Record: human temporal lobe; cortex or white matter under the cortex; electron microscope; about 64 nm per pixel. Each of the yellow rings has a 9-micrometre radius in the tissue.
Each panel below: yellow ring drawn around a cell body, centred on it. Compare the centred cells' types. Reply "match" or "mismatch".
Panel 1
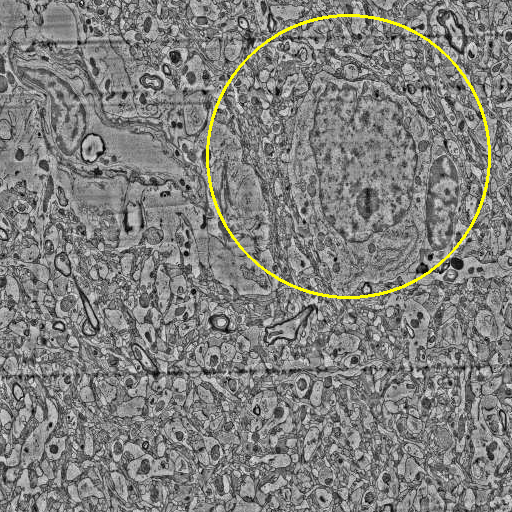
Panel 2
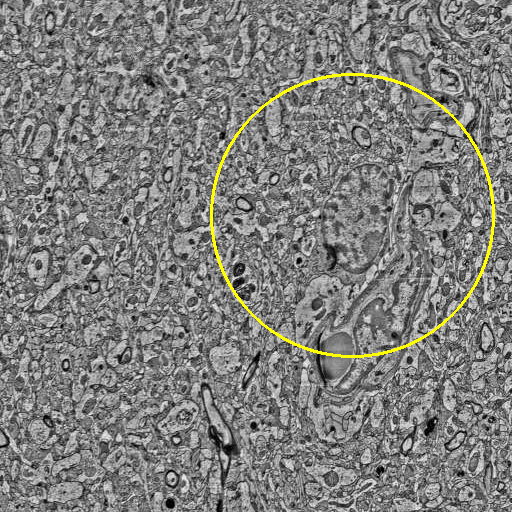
mismatch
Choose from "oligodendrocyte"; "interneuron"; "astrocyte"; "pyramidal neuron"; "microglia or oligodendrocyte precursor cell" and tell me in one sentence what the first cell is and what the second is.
What the first ring is centred on is an interneuron; what the second ring is centred on is an oligodendrocyte.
